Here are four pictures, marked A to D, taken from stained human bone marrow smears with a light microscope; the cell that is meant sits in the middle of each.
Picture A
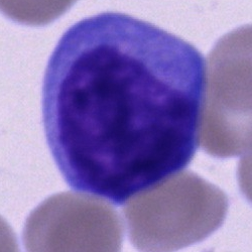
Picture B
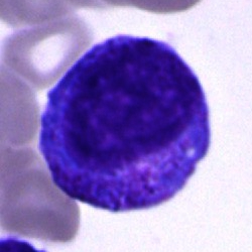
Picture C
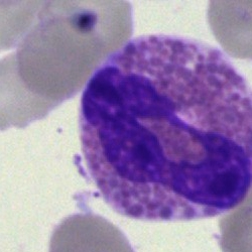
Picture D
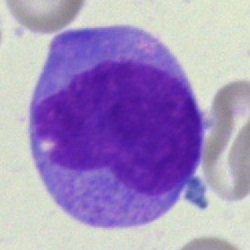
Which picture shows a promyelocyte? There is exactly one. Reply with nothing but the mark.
B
